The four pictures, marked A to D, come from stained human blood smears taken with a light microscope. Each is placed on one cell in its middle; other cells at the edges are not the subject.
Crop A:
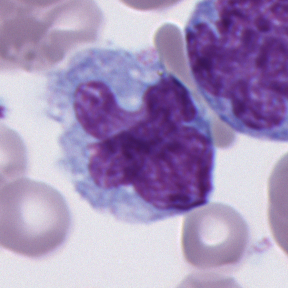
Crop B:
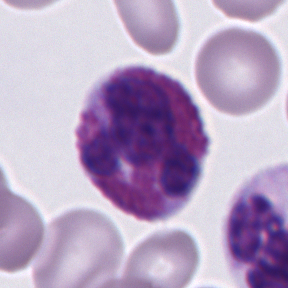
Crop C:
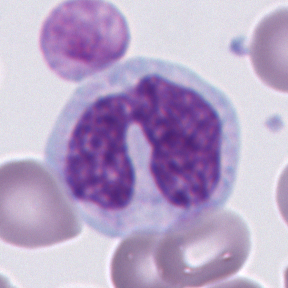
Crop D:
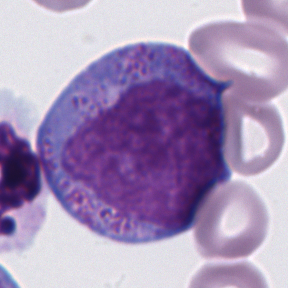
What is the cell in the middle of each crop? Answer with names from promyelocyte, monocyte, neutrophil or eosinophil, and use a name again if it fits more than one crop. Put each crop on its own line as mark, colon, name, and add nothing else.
A: monocyte
B: eosinophil
C: monocyte
D: promyelocyte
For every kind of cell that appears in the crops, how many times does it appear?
monocyte: 2
eosinophil: 1
promyelocyte: 1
